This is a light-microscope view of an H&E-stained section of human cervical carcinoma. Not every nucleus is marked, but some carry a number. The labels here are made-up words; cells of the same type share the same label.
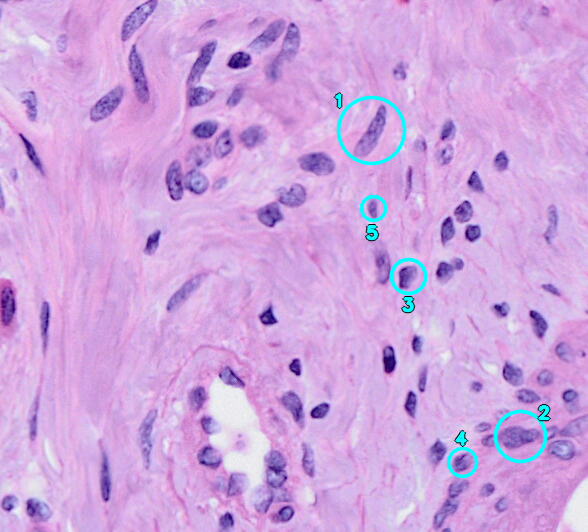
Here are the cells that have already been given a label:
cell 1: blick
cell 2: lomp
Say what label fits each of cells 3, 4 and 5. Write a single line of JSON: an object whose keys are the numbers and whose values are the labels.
{"3": "blick", "4": "lomp", "5": "blick"}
